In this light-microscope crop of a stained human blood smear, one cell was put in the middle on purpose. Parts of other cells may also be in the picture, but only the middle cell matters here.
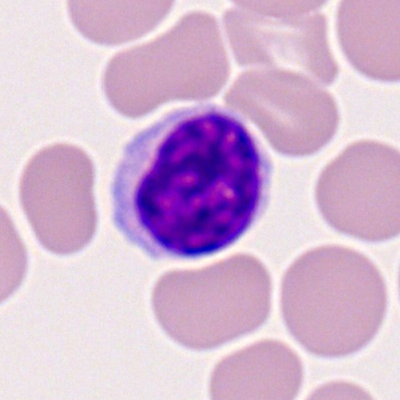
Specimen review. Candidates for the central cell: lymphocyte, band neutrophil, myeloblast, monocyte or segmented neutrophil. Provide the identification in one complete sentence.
Located at the centre of the crop is a lymphocyte.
